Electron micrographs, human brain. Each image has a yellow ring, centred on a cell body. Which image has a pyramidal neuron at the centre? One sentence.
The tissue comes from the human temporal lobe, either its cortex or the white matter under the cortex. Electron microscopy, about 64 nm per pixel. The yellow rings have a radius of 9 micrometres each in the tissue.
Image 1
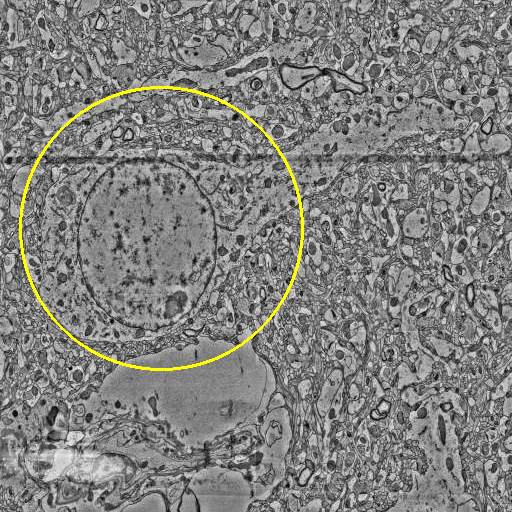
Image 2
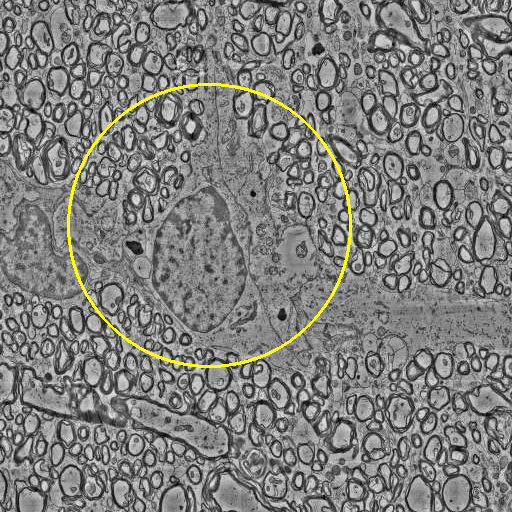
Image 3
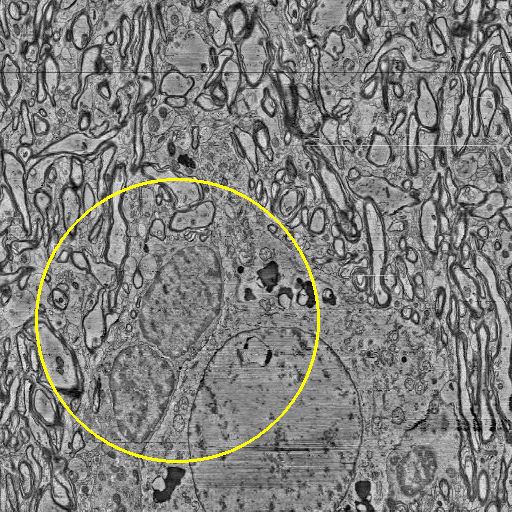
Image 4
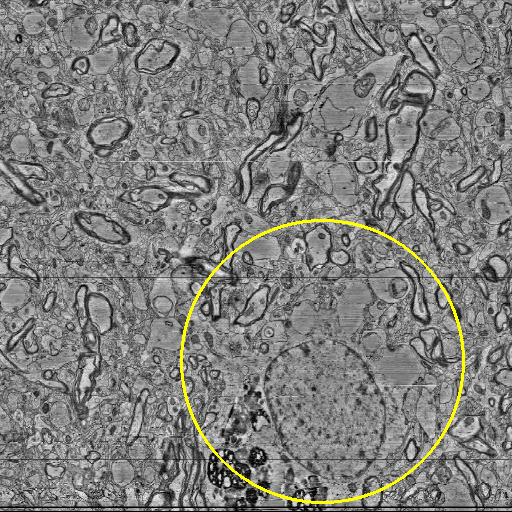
The ring in Image 1 is centred on it.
